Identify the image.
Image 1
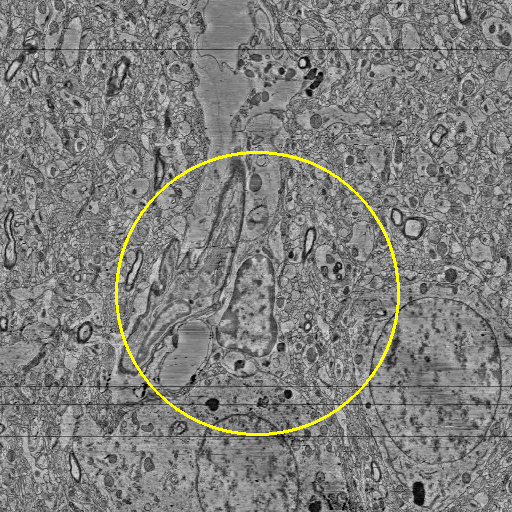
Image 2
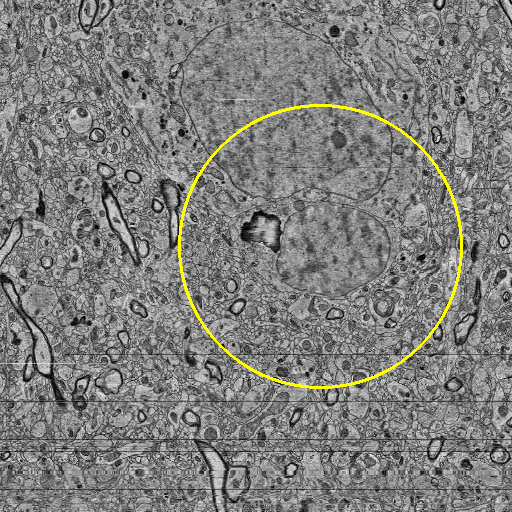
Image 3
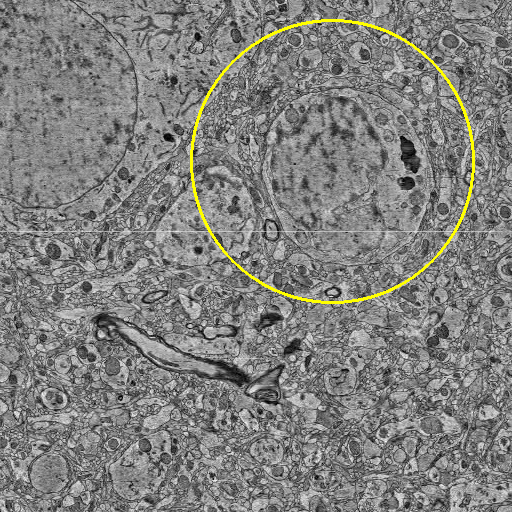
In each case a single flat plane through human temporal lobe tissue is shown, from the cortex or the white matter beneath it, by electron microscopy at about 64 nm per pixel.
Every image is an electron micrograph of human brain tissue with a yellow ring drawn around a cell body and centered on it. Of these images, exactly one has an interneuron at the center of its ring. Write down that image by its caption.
Image 3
